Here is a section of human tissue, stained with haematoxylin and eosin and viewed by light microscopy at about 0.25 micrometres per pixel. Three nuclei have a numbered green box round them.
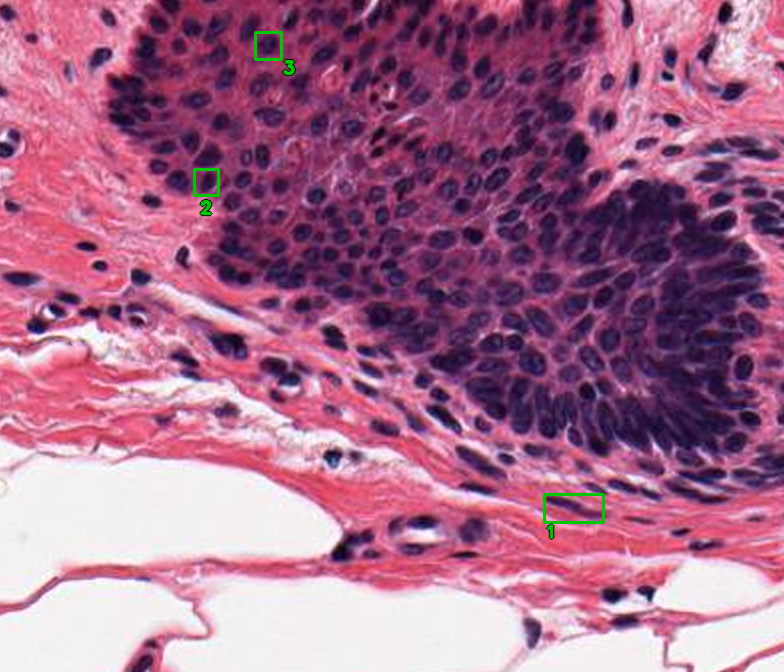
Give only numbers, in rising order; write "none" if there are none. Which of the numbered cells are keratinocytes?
2, 3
